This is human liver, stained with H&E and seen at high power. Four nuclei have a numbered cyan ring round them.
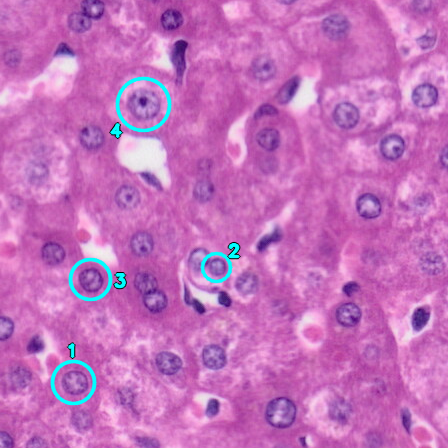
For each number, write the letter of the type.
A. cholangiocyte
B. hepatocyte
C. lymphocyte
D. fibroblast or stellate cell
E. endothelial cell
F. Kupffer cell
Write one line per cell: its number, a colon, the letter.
1: B
2: A
3: B
4: B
